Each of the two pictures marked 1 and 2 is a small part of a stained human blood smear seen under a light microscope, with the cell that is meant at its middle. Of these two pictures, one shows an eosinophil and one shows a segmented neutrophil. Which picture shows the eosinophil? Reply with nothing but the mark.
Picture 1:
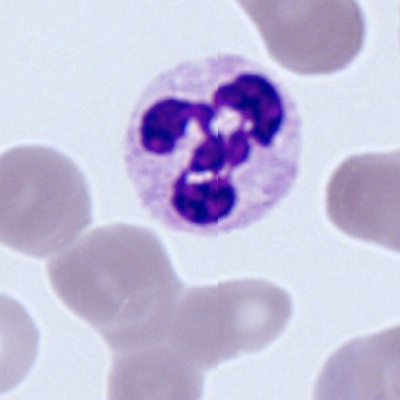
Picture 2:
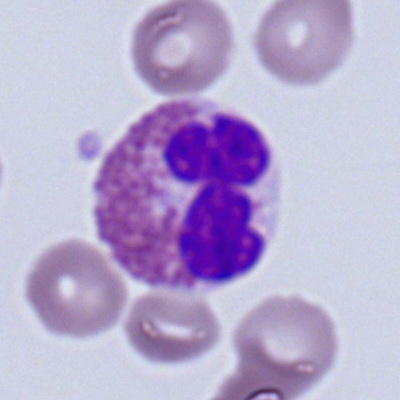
2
